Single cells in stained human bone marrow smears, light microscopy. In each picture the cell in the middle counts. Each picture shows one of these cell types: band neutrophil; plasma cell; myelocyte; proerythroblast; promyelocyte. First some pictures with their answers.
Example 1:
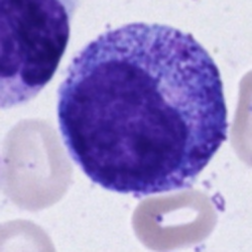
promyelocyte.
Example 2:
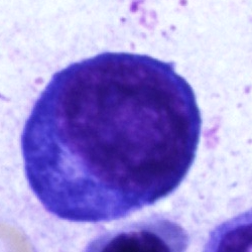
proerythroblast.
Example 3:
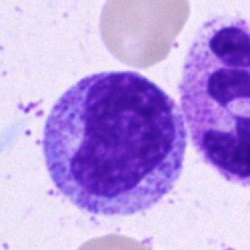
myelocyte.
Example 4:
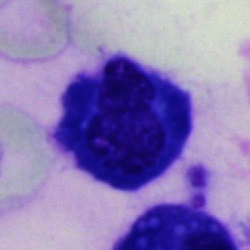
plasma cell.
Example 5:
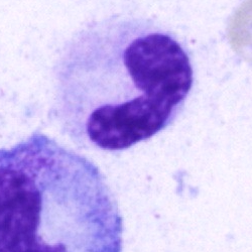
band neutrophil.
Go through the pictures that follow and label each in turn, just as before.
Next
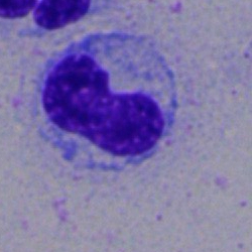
band neutrophil.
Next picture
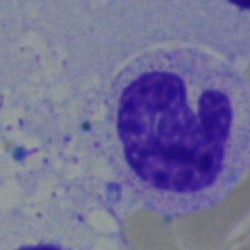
band neutrophil.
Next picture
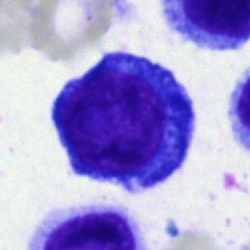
proerythroblast.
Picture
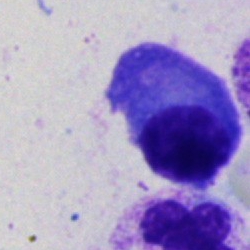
plasma cell.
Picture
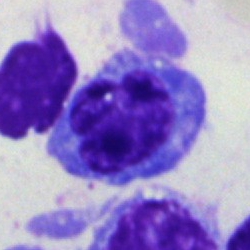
plasma cell.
